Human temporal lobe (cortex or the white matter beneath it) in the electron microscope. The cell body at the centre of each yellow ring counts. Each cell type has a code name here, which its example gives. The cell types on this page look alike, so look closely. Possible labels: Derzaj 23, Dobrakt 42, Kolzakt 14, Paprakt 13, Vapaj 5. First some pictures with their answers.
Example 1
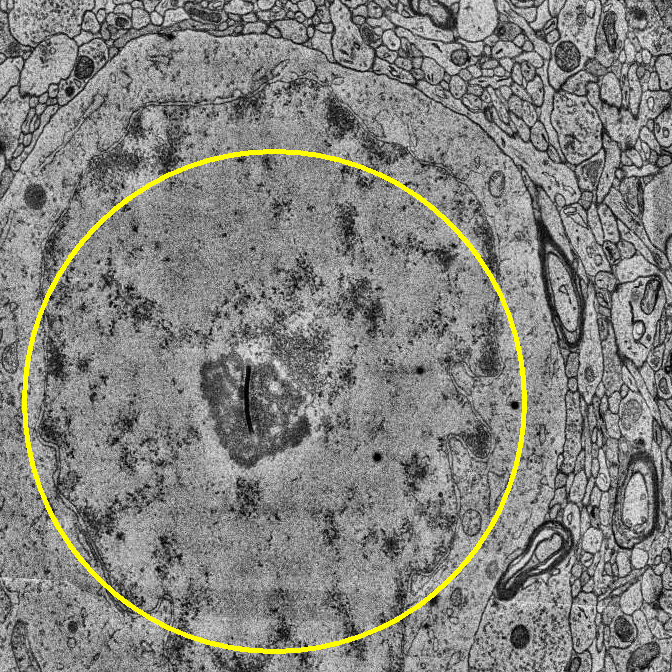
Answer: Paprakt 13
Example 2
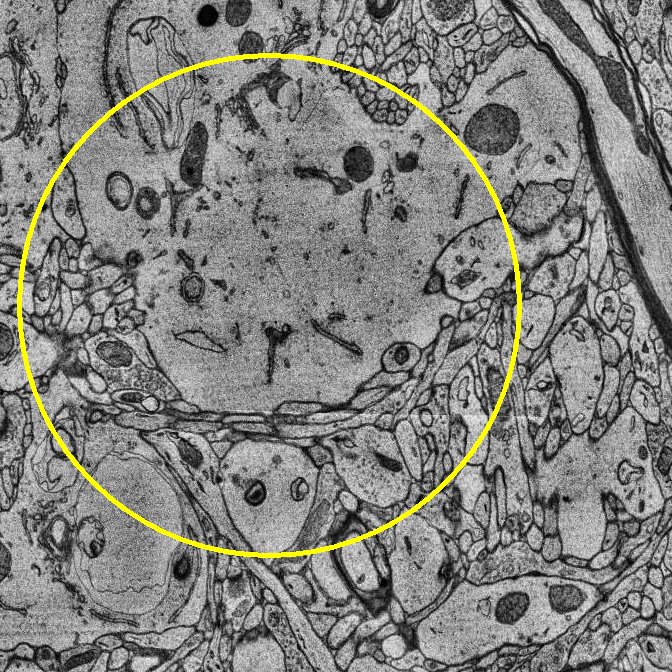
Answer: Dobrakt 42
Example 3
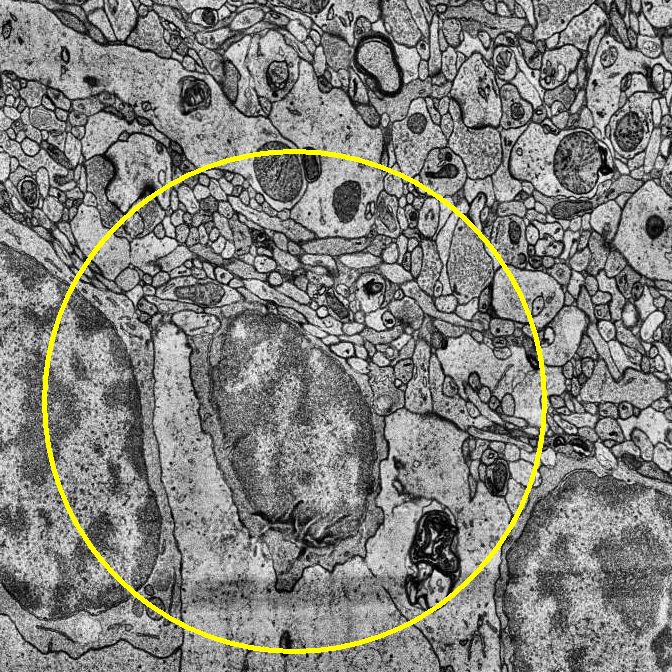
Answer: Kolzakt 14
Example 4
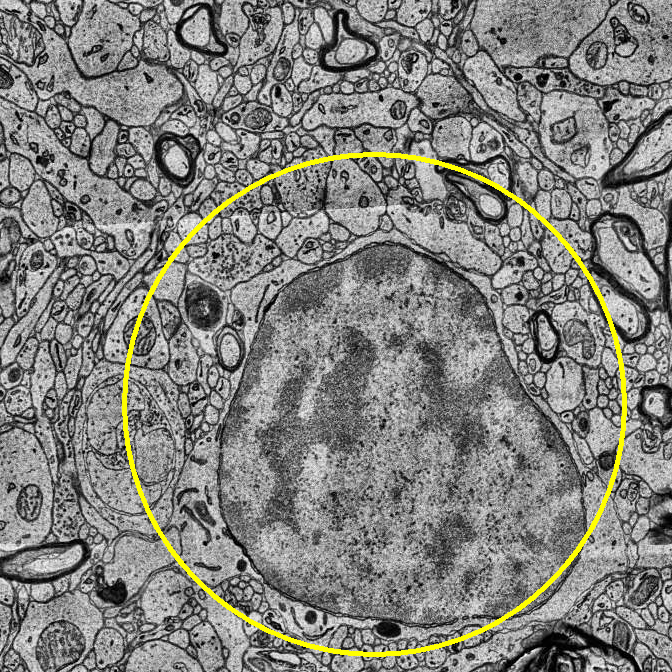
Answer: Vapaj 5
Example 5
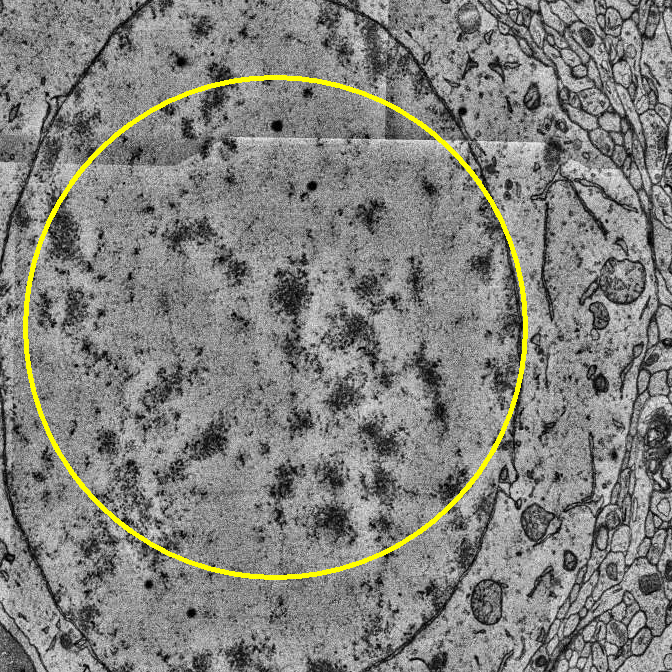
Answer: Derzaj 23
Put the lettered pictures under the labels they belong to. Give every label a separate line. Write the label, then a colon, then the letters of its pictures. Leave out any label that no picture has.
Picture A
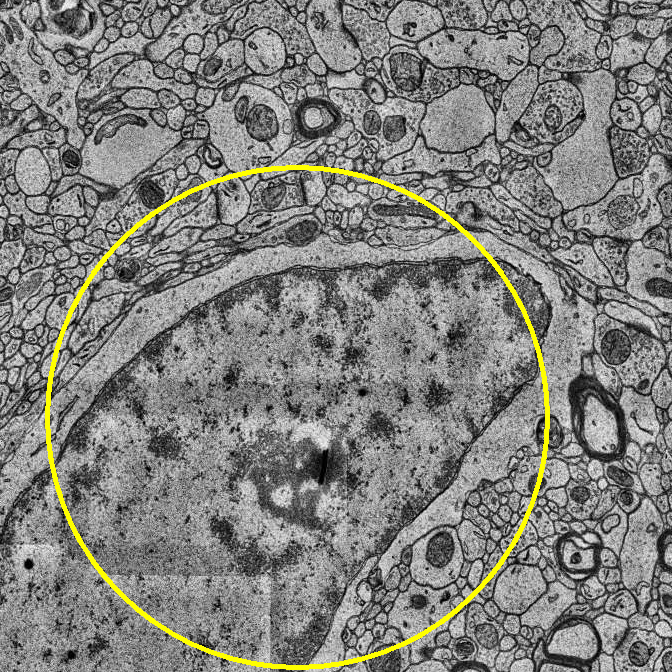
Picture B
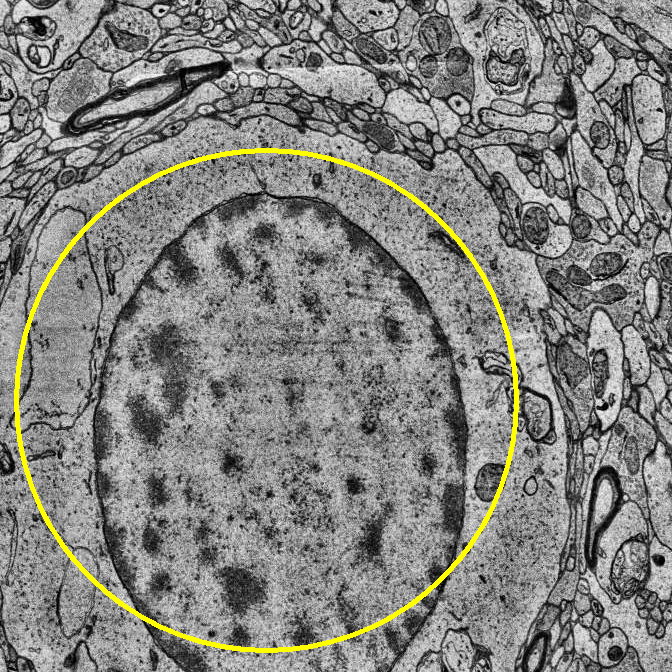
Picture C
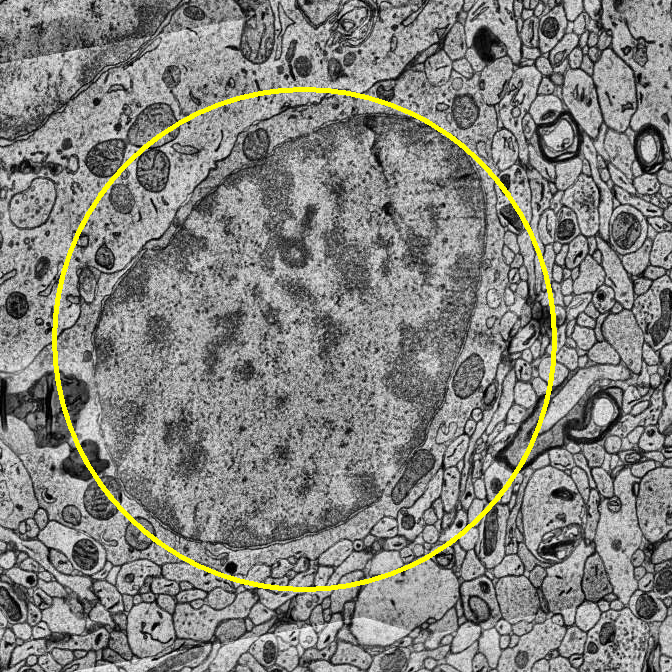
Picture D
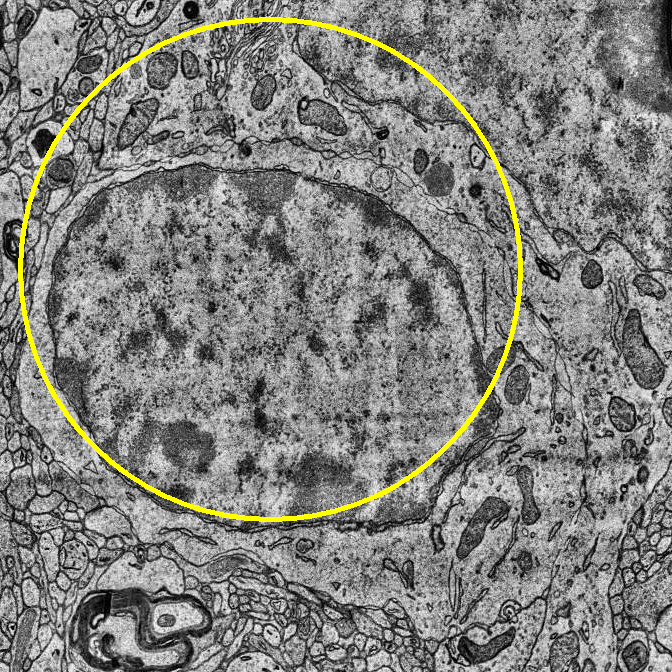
Dobrakt 42: B
Kolzakt 14: C
Vapaj 5: A, D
